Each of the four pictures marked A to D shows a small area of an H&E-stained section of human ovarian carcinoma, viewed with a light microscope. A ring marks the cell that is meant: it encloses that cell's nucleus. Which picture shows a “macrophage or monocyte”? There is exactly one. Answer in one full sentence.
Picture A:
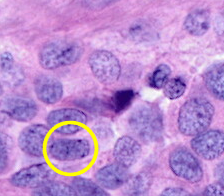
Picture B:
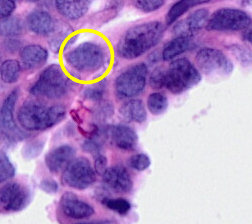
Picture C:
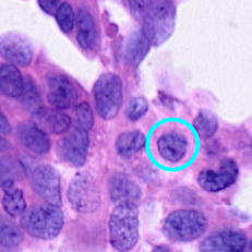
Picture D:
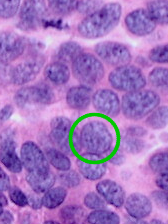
It is picture C that shows the “macrophage or monocyte”.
